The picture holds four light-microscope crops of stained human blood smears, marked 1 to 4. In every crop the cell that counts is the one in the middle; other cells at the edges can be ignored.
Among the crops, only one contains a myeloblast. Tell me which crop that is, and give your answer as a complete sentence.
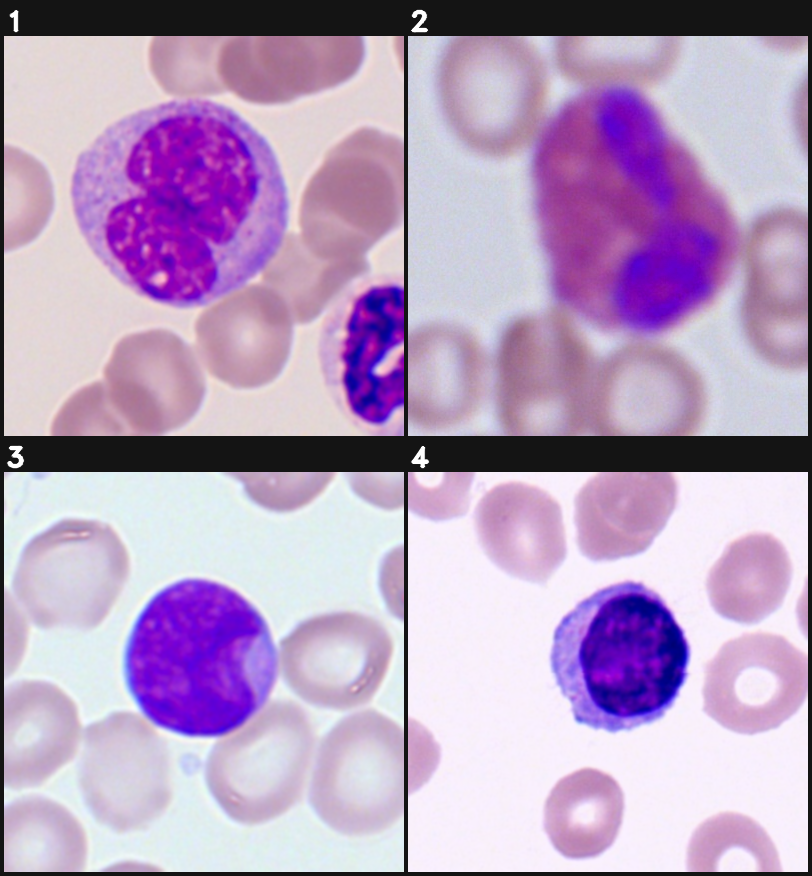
Crop 3 matches the request, showing a myeloblast.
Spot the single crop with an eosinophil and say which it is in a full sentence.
Crop 2 is the right one; it is the crop showing an eosinophil.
